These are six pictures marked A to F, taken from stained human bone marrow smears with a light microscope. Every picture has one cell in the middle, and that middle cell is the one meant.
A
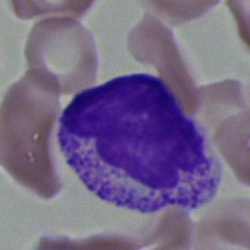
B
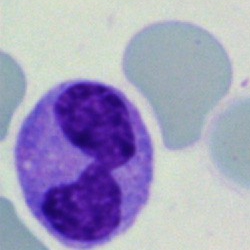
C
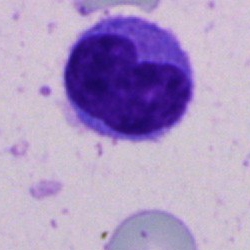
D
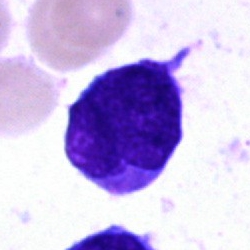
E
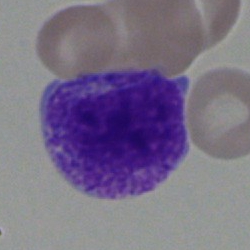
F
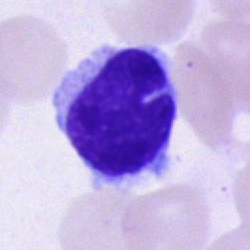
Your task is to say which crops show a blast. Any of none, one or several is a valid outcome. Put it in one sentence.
The right choice is crop D, the only crop with a blast.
